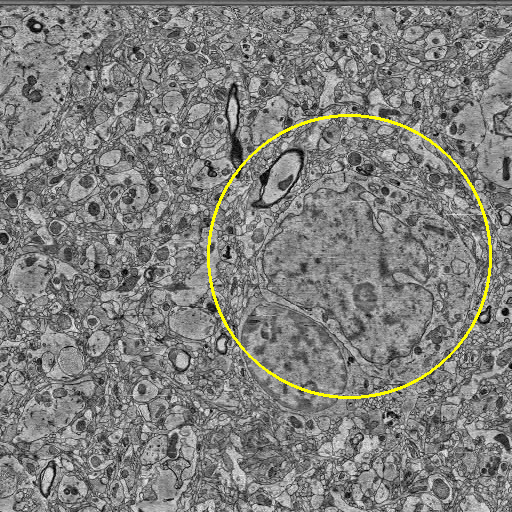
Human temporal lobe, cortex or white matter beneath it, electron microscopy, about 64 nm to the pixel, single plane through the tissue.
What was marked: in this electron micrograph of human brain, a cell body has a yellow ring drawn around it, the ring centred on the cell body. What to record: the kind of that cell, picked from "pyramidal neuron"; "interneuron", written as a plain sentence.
The centred cell is an interneuron.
